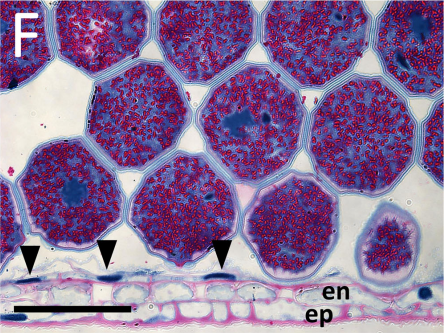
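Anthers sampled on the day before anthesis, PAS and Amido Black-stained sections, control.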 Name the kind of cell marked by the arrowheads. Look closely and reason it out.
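Flattened dark blue cells line the innermost side of the anther wall. They lie between the wall layers and the packed grains.
Tapetal cell.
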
